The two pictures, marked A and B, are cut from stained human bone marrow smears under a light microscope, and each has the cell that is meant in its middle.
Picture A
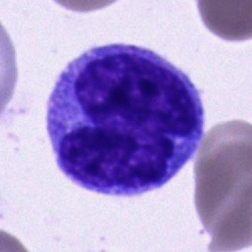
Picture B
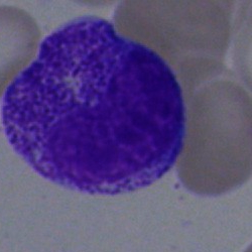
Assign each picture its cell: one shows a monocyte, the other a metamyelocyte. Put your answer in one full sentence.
Picture A is of a monocyte, and picture B is of a metamyelocyte.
